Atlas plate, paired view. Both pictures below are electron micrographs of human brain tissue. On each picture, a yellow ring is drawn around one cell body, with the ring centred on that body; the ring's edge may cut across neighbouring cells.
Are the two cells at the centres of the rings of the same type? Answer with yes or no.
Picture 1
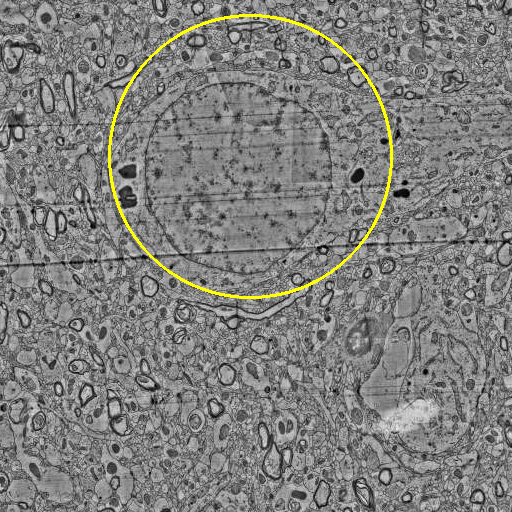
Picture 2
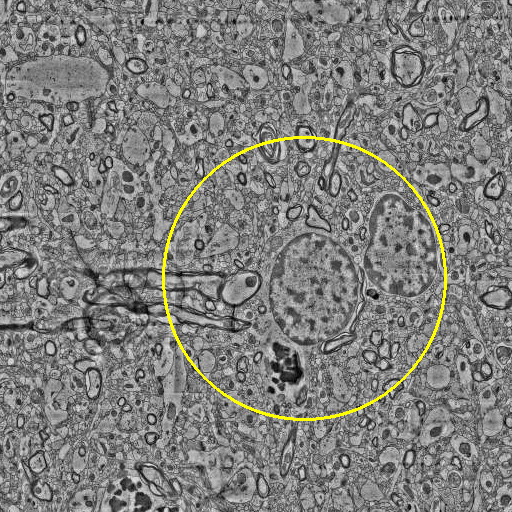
no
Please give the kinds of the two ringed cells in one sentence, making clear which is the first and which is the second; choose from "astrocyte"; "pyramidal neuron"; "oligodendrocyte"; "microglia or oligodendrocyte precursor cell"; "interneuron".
In the second picture the ringed cell is an oligodendrocyte; in the first it is a pyramidal neuron.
